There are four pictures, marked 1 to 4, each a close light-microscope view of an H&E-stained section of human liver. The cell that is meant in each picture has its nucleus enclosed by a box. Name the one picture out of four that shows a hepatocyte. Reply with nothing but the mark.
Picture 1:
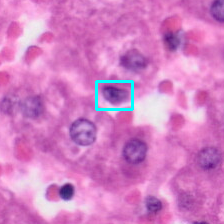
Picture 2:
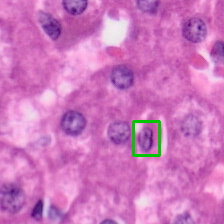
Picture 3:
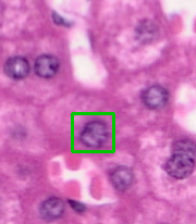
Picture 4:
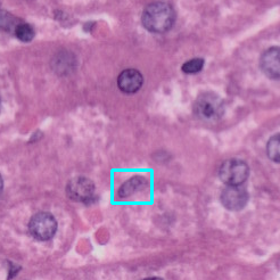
3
